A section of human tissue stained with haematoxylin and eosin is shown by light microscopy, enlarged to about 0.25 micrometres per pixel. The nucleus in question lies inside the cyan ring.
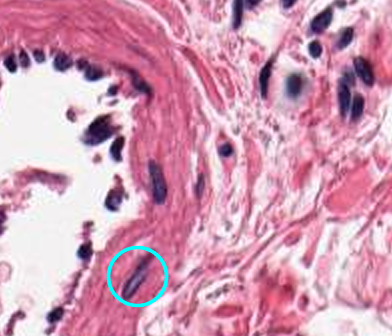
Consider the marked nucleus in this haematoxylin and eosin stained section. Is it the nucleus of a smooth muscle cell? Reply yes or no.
yes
